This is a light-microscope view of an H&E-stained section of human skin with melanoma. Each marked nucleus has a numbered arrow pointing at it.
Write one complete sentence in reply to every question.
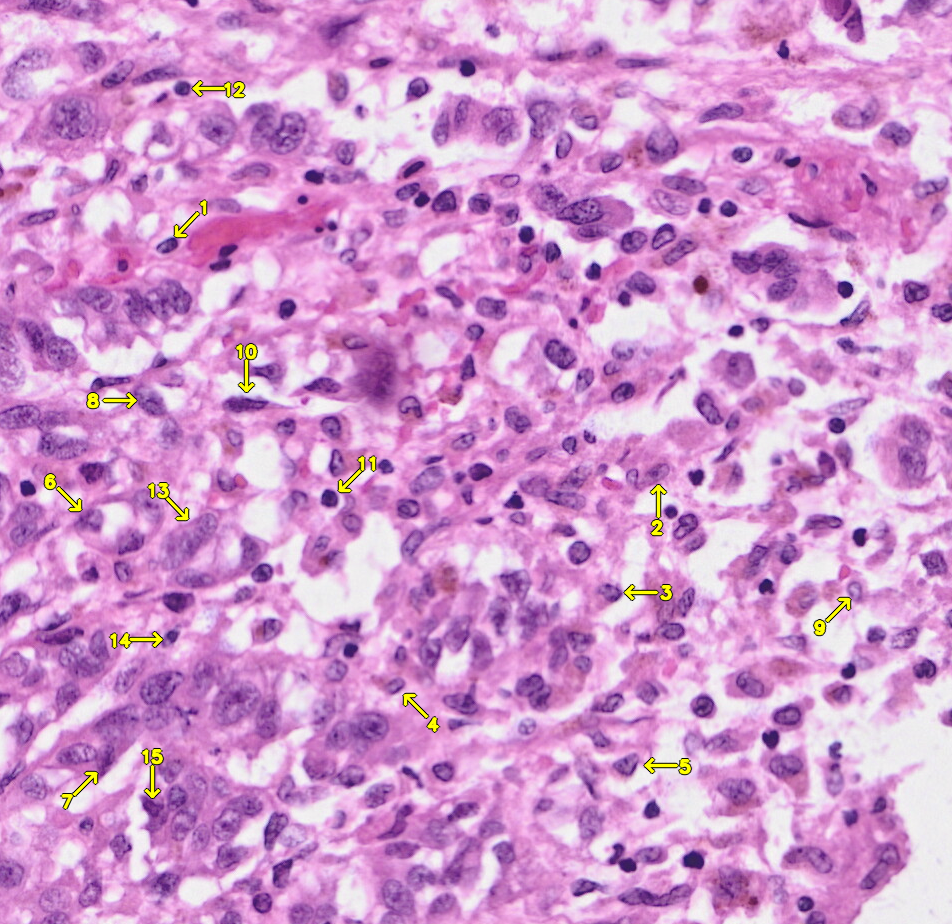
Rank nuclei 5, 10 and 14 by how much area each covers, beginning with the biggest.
By area, largest first, they run 10, 5, 14.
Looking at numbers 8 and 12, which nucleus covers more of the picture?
Nucleus 8 covers more area, about 2.5 times as much as nucleus 12.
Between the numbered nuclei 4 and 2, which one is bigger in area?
Of the two, number 2 is bigger and takes up about 1.5 times the area of number 4.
